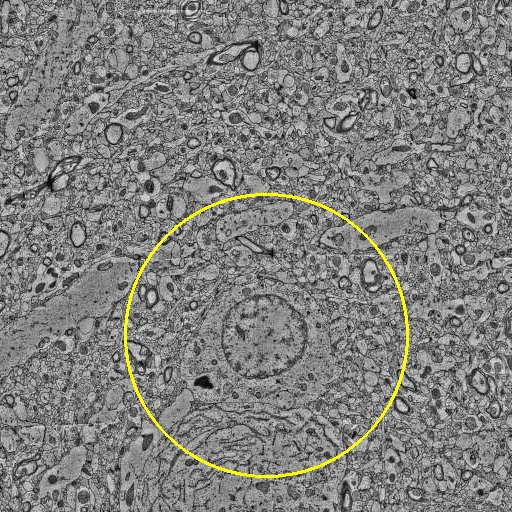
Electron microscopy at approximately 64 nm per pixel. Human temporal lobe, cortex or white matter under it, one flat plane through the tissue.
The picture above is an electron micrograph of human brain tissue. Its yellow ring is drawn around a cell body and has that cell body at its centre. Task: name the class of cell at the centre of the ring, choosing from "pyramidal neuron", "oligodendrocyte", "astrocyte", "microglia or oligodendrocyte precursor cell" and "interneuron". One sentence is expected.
The ring surrounds the body of an interneuron.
